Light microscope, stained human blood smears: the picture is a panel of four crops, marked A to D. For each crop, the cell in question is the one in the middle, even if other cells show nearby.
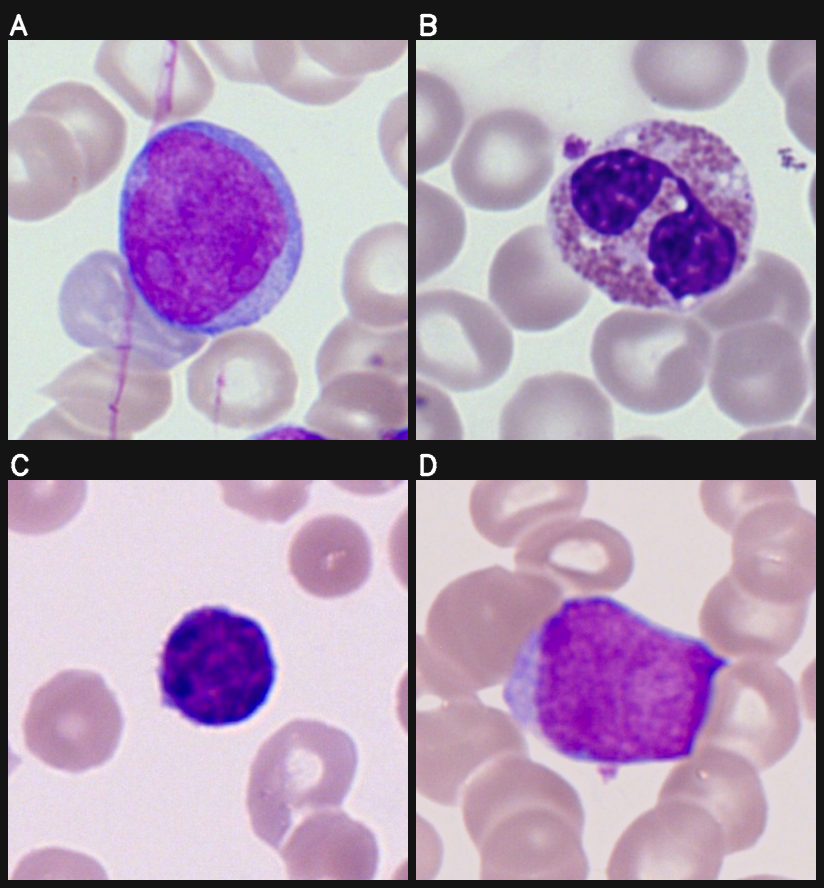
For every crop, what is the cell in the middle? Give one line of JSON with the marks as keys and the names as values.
{"A": "myeloblast", "B": "eosinophil", "C": "lymphocyte", "D": "myeloblast"}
